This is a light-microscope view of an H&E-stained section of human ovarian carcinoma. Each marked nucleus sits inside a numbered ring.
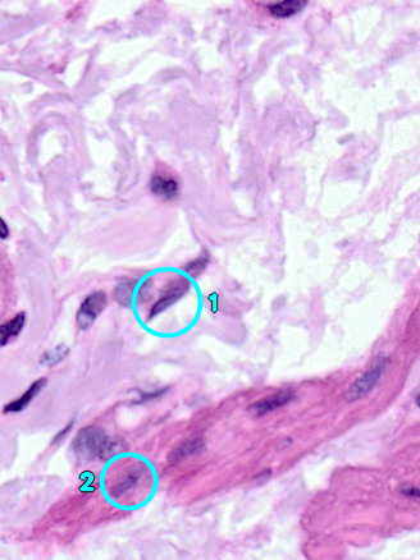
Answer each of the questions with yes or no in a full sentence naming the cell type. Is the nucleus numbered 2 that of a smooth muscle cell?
Yes, number 2 in this section denotes a smooth muscle cell.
